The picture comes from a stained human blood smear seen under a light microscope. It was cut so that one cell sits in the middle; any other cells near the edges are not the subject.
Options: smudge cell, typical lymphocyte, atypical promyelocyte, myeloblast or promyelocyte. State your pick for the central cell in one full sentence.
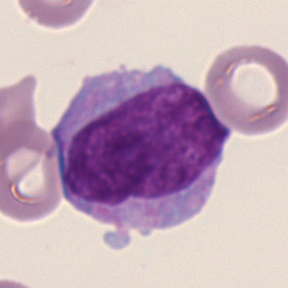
The cell shown in the center of this light-microscope crop is an atypical promyelocyte.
